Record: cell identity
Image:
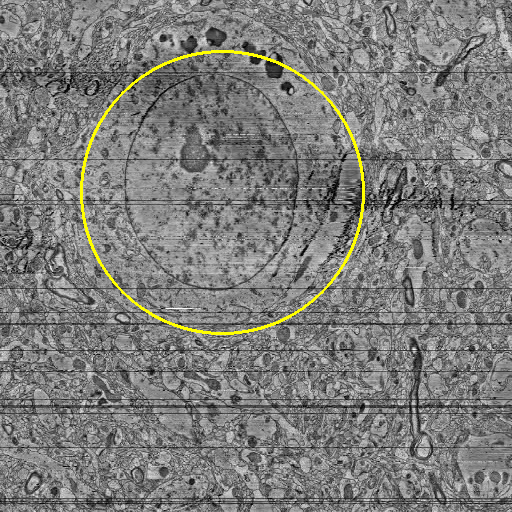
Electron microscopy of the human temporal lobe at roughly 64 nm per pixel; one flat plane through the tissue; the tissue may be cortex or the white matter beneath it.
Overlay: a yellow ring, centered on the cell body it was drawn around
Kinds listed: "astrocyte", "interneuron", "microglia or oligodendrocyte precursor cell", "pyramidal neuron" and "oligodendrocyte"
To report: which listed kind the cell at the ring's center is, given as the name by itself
pyramidal neuron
